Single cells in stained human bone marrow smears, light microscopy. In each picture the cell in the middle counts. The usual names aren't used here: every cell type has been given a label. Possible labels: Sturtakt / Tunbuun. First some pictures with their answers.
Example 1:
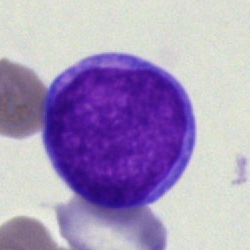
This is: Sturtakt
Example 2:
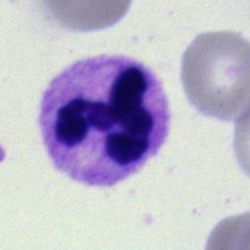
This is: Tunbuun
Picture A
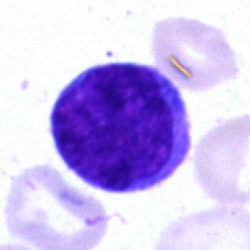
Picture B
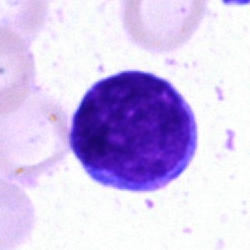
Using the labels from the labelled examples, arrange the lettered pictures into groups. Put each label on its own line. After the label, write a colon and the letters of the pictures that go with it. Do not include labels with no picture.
Sturtakt: A, B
